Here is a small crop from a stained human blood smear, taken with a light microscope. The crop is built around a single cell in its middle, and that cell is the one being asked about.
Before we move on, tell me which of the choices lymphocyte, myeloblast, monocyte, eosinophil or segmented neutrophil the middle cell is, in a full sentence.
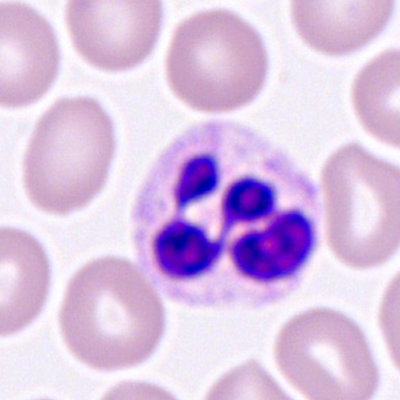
By type, the central cell of the crop is a segmented neutrophil.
